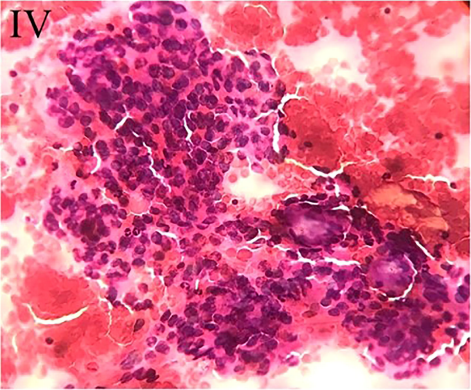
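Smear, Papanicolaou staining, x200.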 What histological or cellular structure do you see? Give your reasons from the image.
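Small rounded groups of cells surround purple centres within the cluster. Nuclei are densely crowded across the cluster. So: micro follicles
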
